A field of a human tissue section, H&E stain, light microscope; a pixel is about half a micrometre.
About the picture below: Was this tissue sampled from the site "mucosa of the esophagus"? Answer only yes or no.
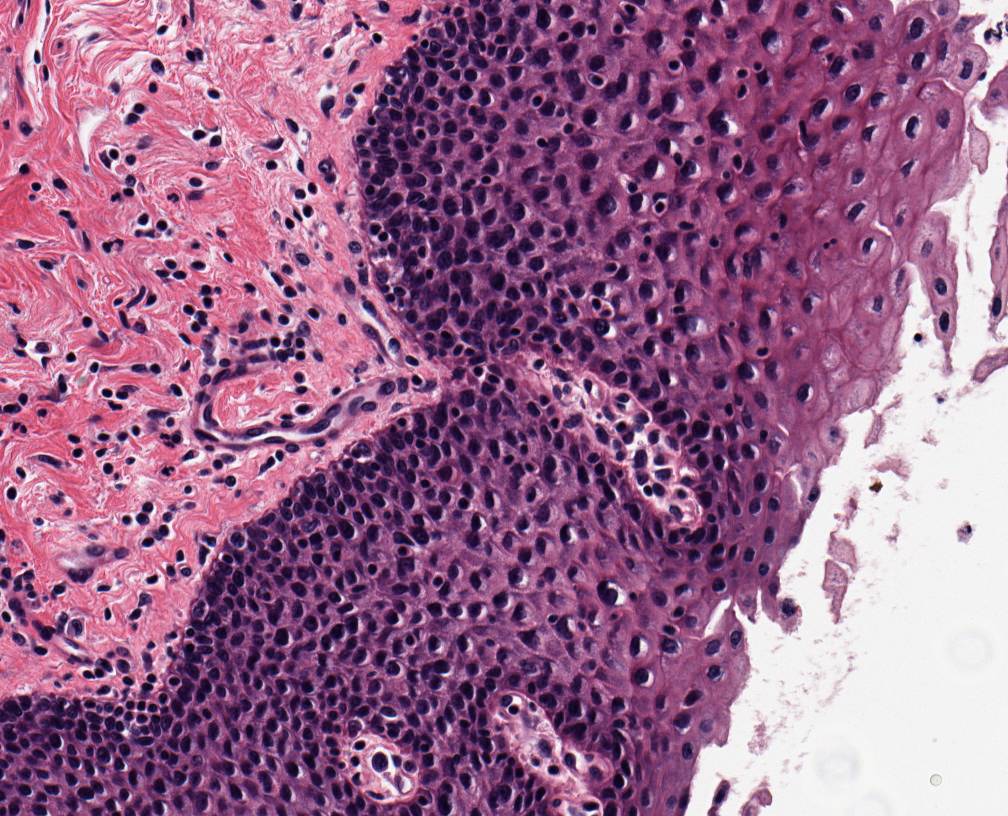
yes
